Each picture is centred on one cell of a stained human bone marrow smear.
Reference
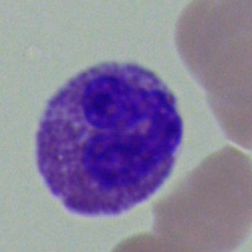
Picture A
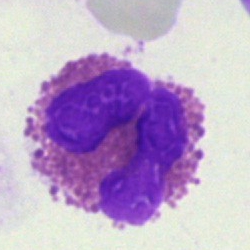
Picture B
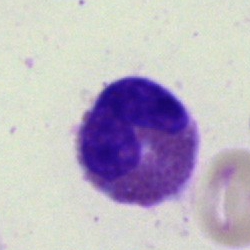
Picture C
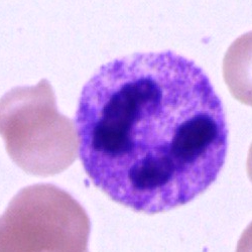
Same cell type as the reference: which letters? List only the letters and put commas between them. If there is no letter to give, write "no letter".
A, B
